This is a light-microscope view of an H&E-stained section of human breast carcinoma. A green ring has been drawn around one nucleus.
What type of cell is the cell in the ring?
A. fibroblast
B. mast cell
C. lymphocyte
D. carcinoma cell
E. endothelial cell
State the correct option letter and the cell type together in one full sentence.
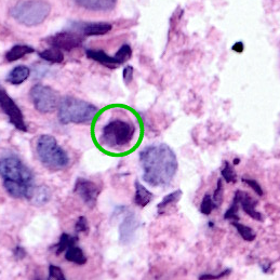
Option D is the right choice, for the cell in the ring is a carcinoma cell.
